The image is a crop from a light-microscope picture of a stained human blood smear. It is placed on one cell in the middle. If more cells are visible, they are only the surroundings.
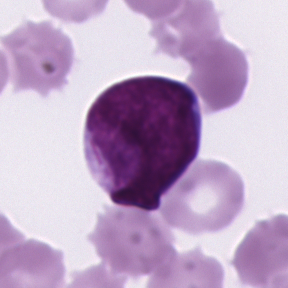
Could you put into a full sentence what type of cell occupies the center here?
Classification of the middle cell gives a blast.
